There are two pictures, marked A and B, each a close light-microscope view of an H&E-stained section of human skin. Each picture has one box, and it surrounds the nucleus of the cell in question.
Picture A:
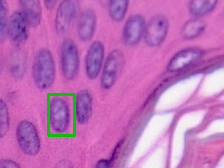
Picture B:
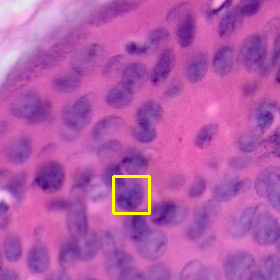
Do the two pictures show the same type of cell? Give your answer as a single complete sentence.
No, the types are not the same, since picture A shows a suprabasal keratinocyte and picture B a basal keratinocyte.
